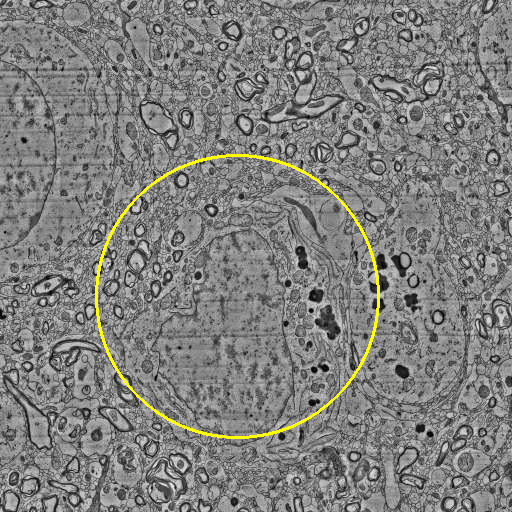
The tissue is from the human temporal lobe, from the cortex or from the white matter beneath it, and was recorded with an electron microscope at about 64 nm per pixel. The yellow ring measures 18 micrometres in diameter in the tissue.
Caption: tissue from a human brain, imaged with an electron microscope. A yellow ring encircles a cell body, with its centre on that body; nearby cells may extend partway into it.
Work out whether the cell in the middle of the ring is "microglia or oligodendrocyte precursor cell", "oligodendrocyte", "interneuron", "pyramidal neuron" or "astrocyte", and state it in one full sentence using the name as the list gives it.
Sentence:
In the picture, the cell that the yellow ring surrounds at its centre is an interneuron.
